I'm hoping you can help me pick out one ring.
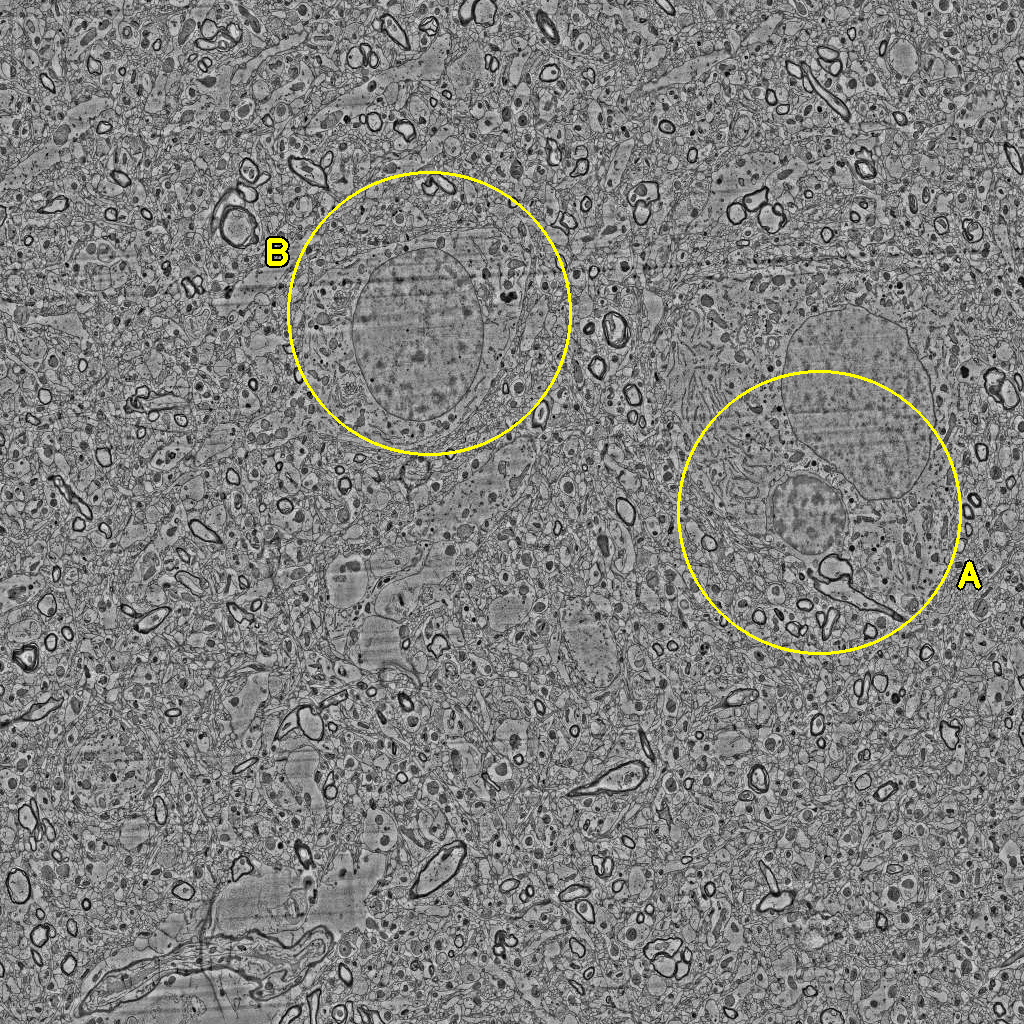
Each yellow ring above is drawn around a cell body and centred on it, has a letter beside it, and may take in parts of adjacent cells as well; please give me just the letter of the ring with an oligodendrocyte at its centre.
A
